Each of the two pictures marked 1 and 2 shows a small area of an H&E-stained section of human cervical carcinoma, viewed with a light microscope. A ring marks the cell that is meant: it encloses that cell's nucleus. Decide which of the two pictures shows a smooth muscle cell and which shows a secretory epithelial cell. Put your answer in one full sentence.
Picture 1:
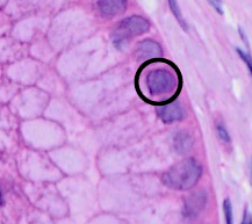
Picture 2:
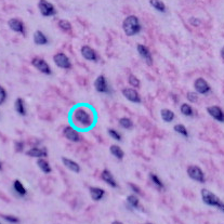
Picture 1 is of a secretory epithelial cell, and picture 2 is of a smooth muscle cell.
